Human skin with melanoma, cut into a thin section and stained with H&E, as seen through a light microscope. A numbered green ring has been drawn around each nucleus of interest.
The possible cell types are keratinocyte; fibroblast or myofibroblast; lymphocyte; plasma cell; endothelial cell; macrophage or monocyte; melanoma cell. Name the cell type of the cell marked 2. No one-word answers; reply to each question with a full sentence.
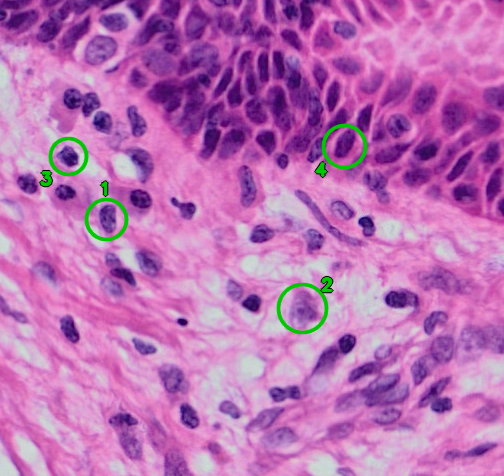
The numeral 2 marks a fibroblast or myofibroblast in this section.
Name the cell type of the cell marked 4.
The cell carrying label 4 is identified as a keratinocyte.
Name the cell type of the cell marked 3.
The cell indicated by marker 3 is a lymphocyte in this section.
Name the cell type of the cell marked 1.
Cell 1, as marked in the section, is a lymphocyte.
